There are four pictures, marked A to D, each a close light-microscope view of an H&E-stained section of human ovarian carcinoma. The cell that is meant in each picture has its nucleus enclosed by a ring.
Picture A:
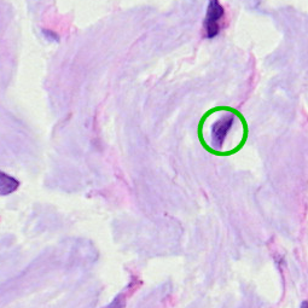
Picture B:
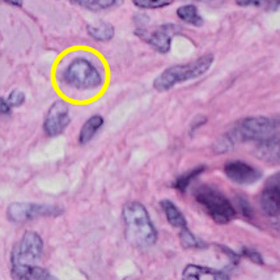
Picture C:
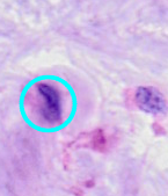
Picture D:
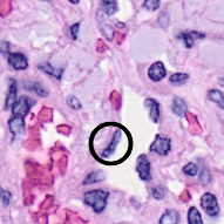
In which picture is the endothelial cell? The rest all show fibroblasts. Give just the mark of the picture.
D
